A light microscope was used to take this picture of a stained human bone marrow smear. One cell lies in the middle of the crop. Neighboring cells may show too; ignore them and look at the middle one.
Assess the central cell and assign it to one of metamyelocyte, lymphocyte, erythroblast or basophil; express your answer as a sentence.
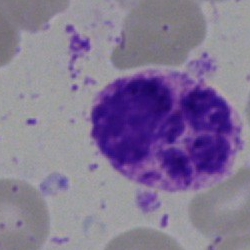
This particular crop is centered on a basophil.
